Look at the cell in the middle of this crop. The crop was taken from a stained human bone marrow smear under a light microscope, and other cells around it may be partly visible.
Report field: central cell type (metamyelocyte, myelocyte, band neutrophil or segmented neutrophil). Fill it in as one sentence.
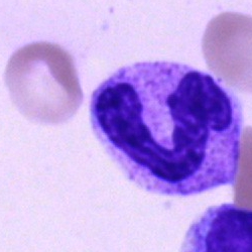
Among the cells in view, the one in the middle is a band neutrophil.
